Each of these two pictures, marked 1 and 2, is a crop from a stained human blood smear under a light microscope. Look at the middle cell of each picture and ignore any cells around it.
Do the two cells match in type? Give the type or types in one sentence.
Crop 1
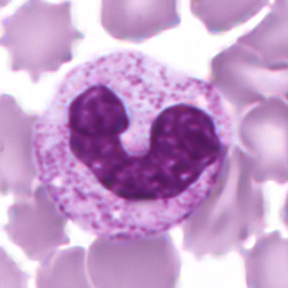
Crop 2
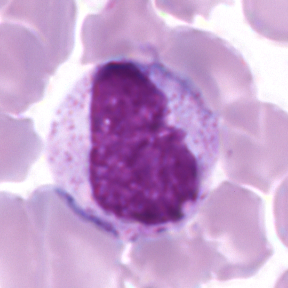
No, crop 1 shows a band neutrophil and crop 2 shows a metamyelocyte.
